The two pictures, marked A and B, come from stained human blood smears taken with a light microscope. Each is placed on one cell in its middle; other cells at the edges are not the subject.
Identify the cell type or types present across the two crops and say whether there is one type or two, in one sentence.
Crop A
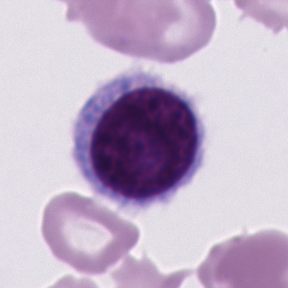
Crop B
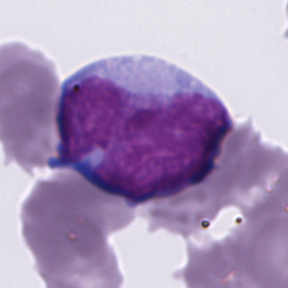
No, crop A matches a hairy cell and crop B matches a myeloblast.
